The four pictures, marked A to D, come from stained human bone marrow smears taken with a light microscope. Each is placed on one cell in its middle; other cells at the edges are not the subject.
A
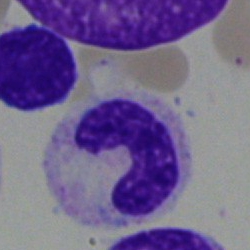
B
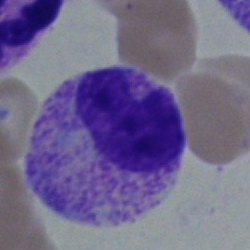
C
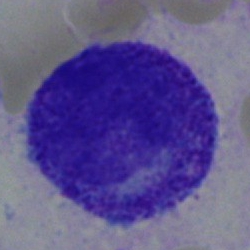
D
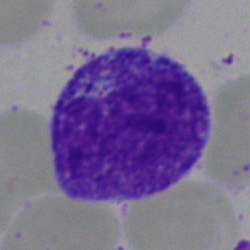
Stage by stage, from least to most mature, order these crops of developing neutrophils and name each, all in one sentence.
Ranking by maturity from lowest to highest gives crop C (a promyelocyte), crop D (a myelocyte), crop B (a metamyelocyte) and crop A (a band neutrophil).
